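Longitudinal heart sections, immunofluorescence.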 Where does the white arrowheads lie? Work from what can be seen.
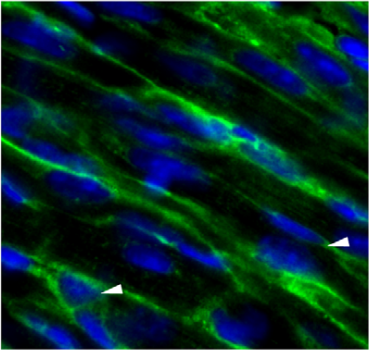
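Perinuclear regions. The arrowheads point at green signal lying right against blue nuclei.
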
